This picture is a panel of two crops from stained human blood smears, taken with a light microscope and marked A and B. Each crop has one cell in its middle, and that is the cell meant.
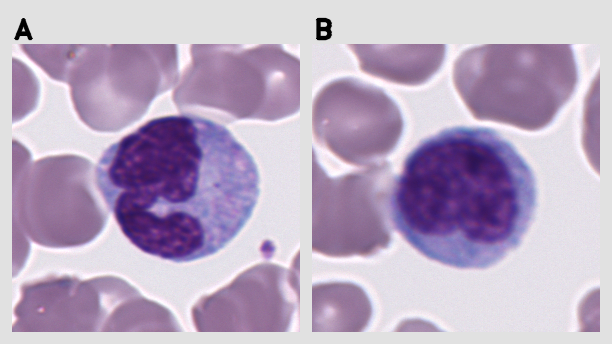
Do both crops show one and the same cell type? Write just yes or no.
yes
